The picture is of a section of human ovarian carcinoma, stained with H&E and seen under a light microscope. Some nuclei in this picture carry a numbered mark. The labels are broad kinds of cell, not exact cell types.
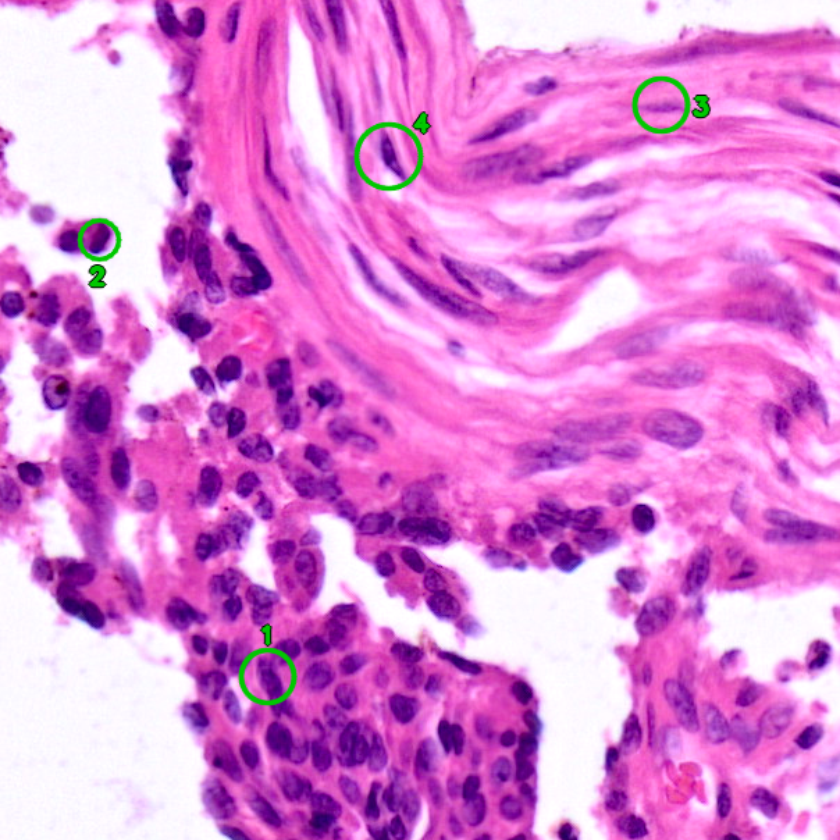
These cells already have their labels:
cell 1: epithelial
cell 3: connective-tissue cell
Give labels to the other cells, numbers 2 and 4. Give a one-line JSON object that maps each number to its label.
{"2": "epithelial", "4": "connective-tissue cell"}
